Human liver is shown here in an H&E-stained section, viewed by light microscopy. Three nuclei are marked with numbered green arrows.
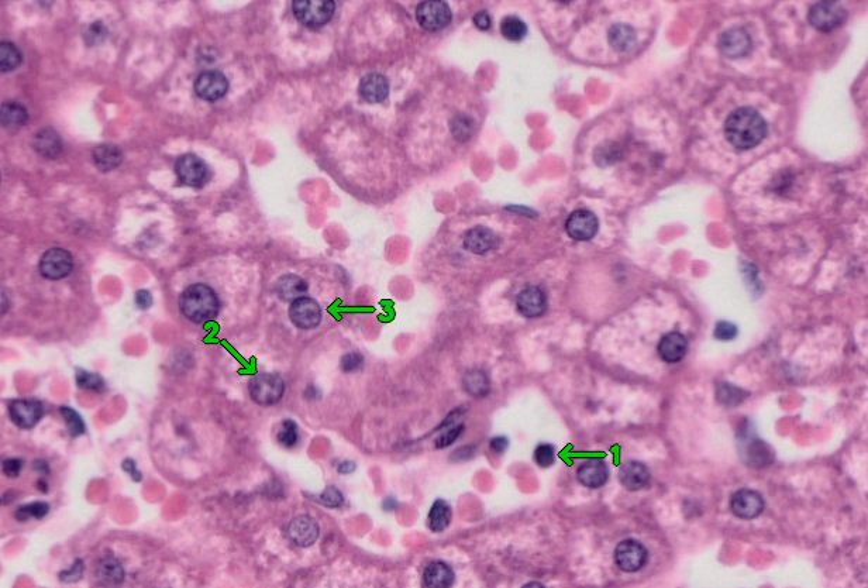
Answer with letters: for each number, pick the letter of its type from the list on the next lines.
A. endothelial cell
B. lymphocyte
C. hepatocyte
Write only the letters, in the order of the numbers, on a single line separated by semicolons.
B; C; C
